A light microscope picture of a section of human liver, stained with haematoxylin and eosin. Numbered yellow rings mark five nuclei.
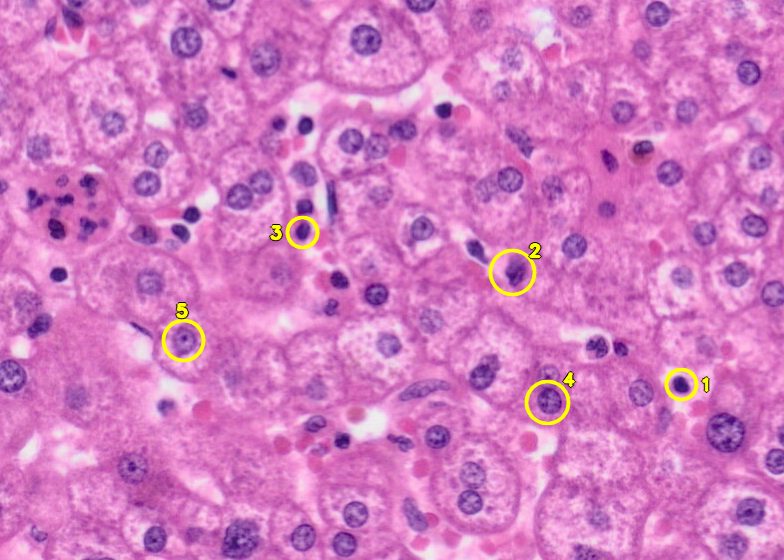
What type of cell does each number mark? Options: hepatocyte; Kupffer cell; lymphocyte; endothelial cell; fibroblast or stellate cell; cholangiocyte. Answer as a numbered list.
1. lymphocyte
2. endothelial cell
3. lymphocyte
4. hepatocyte
5. hepatocyte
